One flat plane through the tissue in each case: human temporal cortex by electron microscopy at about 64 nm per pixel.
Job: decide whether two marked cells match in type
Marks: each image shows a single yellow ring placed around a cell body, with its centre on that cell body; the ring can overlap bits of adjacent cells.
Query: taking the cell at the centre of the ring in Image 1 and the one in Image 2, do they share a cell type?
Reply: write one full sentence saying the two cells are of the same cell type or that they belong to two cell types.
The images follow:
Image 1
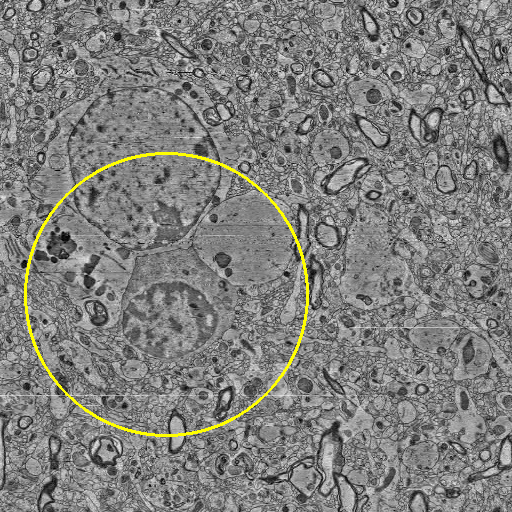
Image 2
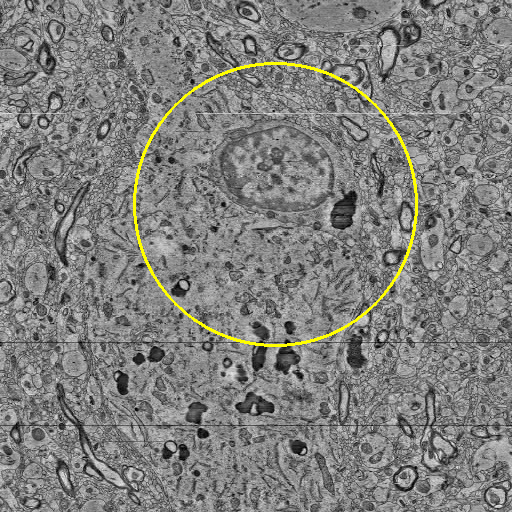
The cells at the ring centres in Image 1 and Image 2 are of the same cell type.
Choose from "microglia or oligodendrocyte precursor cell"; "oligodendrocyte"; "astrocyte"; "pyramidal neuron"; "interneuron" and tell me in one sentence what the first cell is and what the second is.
In both pictures the ring is centred on an oligodendrocyte.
